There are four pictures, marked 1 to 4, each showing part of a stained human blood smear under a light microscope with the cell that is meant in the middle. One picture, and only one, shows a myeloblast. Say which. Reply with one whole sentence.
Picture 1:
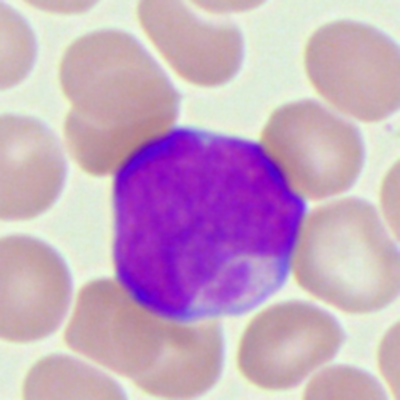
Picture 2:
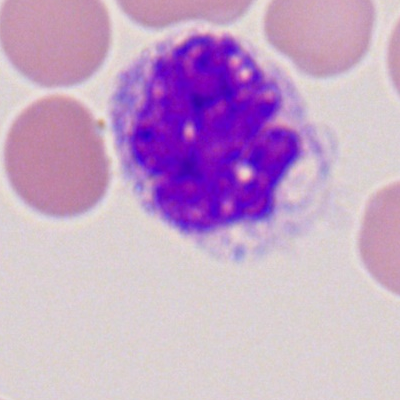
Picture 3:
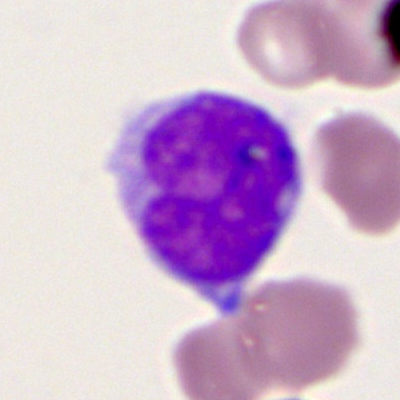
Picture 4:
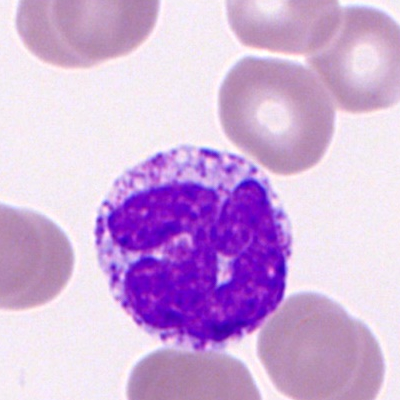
Picture 1 shows the myeloblast.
